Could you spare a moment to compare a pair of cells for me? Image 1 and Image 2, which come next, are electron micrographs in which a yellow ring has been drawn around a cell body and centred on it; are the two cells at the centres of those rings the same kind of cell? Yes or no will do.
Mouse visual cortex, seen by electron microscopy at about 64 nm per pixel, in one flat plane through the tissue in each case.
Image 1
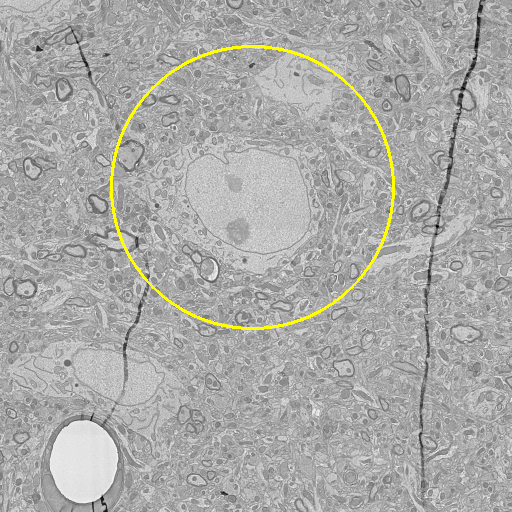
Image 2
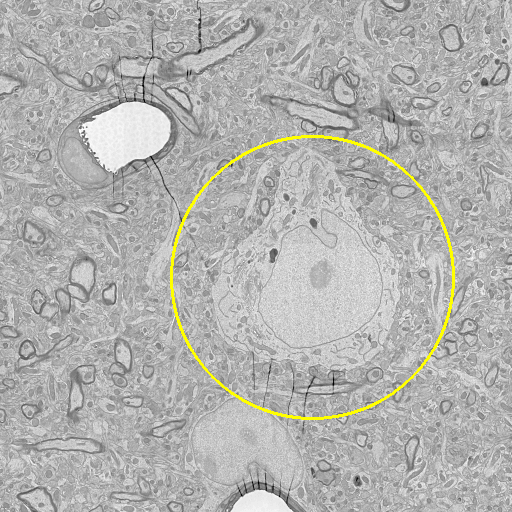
yes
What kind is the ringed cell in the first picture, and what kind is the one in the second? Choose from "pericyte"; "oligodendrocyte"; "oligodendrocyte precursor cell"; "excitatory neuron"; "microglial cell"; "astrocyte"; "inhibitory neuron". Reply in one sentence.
Each one of the two ringed cells is an excitatory neuron.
